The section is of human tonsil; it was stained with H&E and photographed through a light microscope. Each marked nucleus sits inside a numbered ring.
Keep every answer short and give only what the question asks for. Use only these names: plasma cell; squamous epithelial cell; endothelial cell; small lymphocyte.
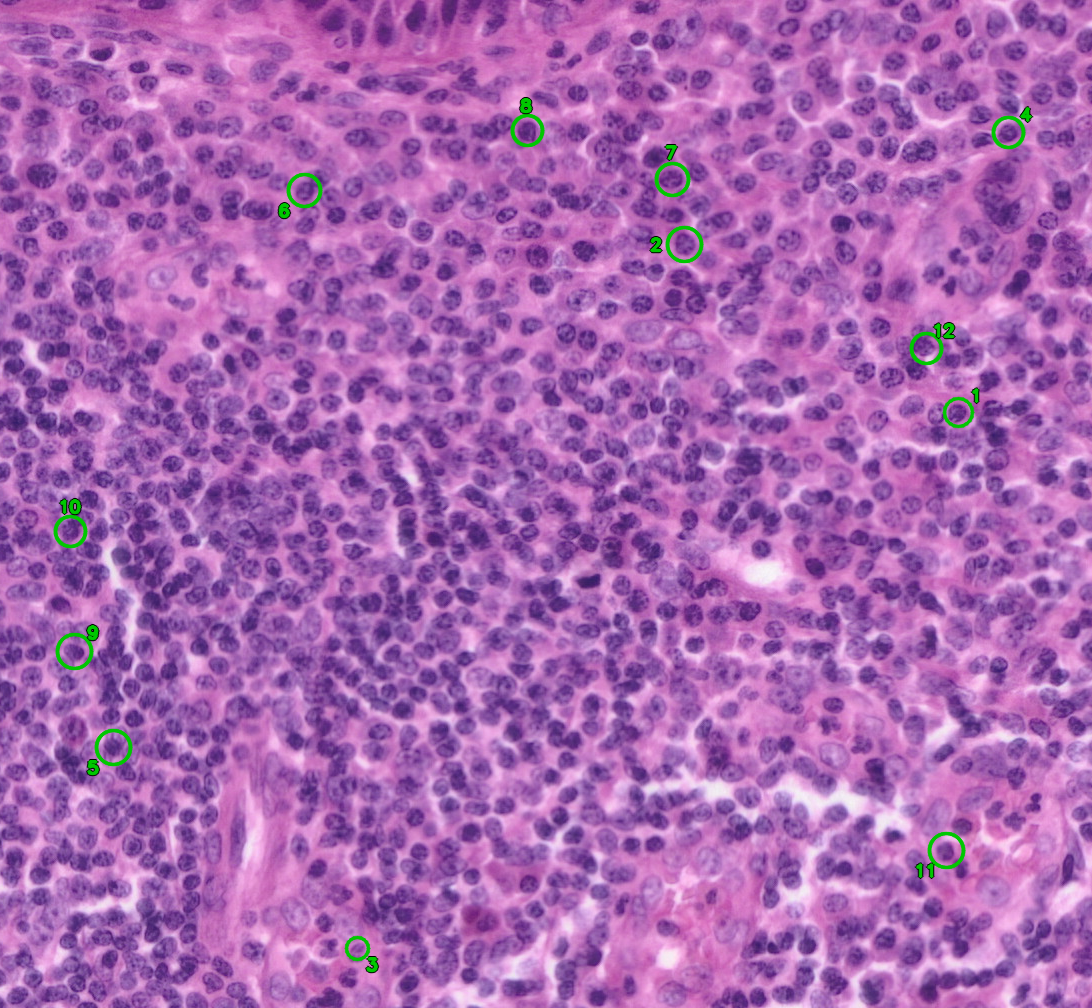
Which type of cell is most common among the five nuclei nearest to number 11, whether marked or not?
endothelial cell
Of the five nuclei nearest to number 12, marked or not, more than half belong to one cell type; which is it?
plasma cell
